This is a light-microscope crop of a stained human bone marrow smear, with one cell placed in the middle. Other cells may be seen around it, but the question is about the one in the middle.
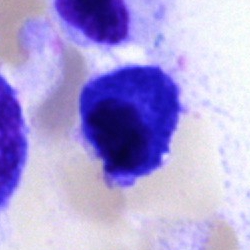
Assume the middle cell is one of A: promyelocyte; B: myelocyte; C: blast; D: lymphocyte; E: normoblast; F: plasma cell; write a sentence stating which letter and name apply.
The one cell at the centre is a plasma cell, as correctly stated in option F.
